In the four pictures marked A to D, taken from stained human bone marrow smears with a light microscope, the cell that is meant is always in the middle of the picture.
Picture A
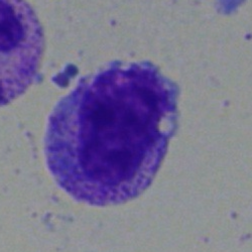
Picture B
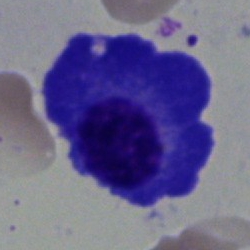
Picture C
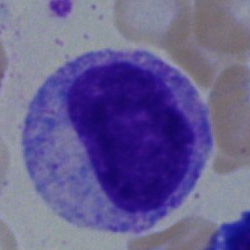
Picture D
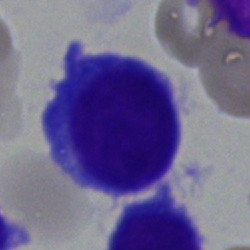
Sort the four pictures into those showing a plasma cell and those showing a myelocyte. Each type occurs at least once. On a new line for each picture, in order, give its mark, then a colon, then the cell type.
A: myelocyte
B: plasma cell
C: myelocyte
D: plasma cell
